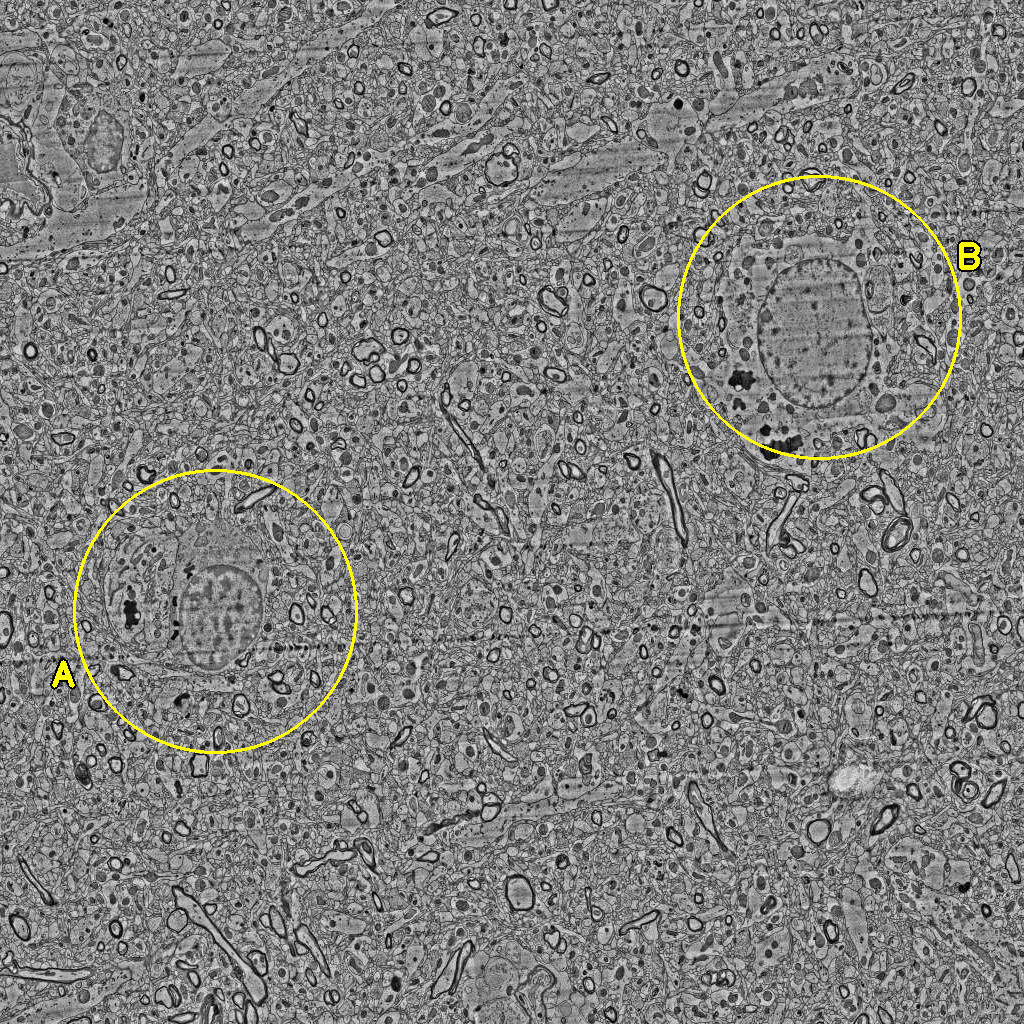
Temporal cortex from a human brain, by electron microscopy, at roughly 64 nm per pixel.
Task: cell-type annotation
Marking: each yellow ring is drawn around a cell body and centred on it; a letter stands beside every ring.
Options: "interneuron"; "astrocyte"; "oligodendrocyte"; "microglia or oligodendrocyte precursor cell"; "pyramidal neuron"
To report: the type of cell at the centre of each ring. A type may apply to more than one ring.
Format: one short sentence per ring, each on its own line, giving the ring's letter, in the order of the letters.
Ring A is centred on an oligodendrocyte.
Ring B is centred on an astrocyte.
